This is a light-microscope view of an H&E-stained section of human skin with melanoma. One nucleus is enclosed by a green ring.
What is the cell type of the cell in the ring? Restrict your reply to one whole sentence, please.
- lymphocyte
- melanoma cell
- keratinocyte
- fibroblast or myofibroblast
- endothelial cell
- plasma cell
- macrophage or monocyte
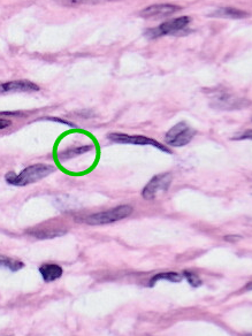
It is a fibroblast or myofibroblast that the cell in the ring represents.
